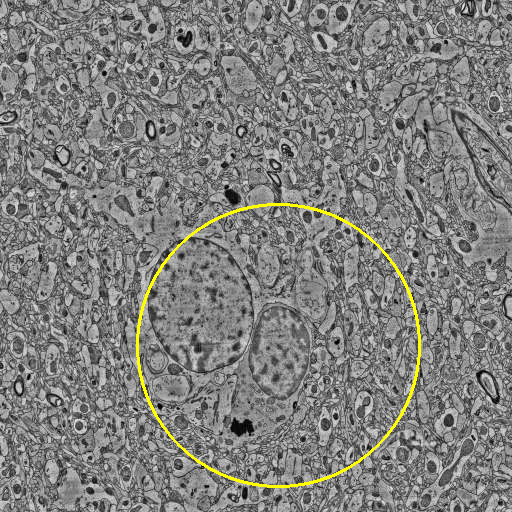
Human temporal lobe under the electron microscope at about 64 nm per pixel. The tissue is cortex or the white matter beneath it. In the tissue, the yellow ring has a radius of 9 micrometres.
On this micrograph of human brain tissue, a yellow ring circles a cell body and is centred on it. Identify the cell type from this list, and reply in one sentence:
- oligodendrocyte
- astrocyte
The cell at the centre is an oligodendrocyte.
